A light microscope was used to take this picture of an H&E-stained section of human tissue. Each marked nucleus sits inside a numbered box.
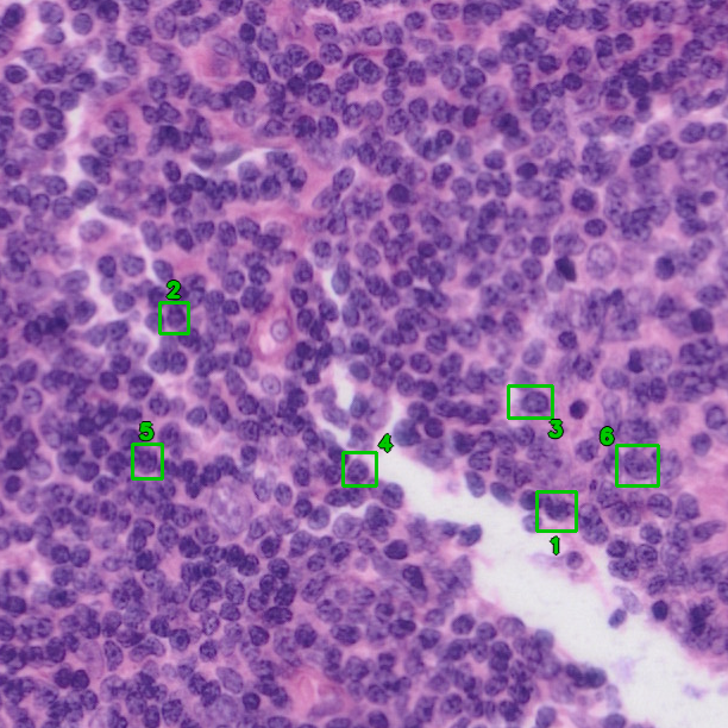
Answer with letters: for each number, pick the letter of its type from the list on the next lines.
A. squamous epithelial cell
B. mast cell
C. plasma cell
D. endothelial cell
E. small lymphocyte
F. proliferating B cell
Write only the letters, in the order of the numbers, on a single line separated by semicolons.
F; E; F; E; E; F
